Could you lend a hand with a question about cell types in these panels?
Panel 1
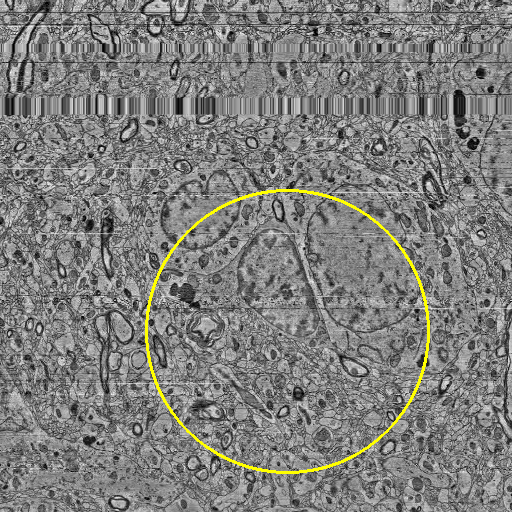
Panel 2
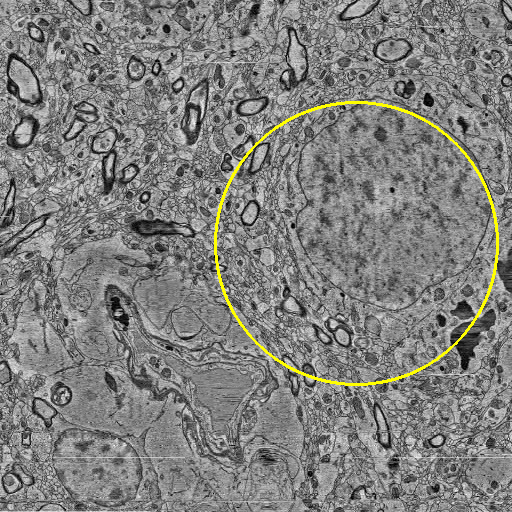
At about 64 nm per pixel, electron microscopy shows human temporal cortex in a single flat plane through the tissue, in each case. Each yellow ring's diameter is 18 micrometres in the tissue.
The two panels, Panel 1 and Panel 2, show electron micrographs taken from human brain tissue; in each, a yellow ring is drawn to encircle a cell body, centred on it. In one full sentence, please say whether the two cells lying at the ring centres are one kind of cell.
No, the cells at the ring centres in the two panels are two kinds of cell.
